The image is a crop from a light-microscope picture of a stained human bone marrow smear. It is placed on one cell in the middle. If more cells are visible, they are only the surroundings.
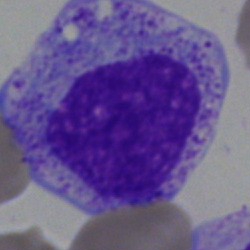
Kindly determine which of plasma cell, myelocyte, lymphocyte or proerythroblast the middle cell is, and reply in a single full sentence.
The central cell shown in this smear crop is a myelocyte.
